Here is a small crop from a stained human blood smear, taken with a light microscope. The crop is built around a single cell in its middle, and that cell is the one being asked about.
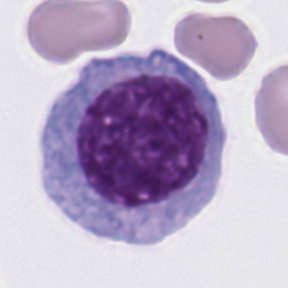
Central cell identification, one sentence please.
By classification, the middle cell of this crop is a plasma cell.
